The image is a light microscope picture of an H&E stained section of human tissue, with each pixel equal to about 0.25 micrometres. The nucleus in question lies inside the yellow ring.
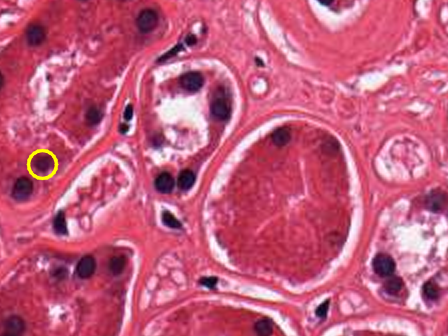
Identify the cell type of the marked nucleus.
proximal tubule cell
